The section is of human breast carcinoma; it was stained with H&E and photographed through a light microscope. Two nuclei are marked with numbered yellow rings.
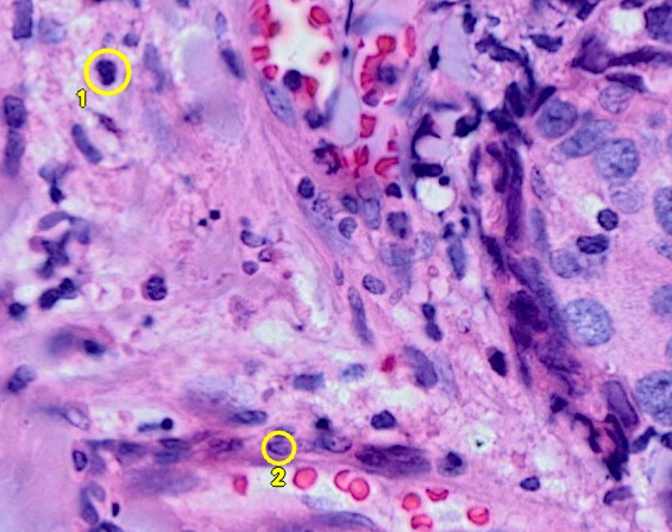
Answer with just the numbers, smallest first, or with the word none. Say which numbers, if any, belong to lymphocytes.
1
